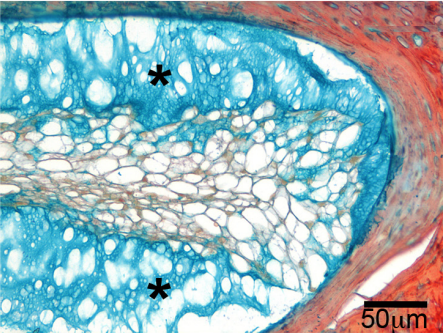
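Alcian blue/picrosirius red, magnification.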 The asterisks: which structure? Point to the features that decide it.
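Chondroid-like intercellular matrix. Blue-stained material surrounding pale vacuolated cells. The blue material lies at the edges of the central cell mass.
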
